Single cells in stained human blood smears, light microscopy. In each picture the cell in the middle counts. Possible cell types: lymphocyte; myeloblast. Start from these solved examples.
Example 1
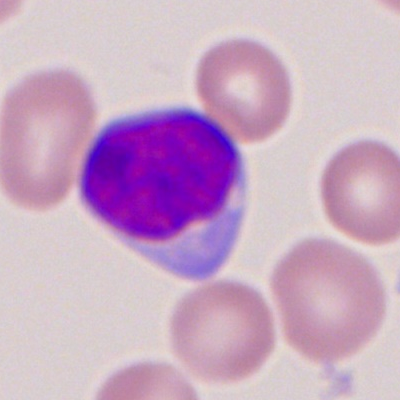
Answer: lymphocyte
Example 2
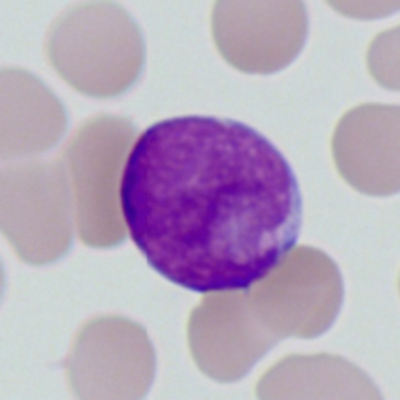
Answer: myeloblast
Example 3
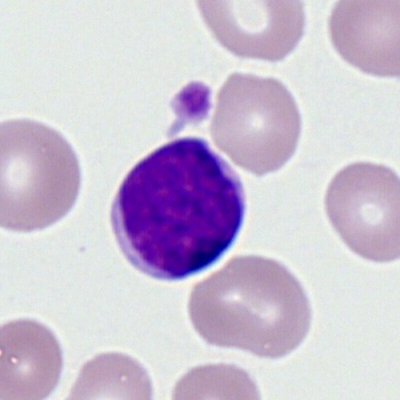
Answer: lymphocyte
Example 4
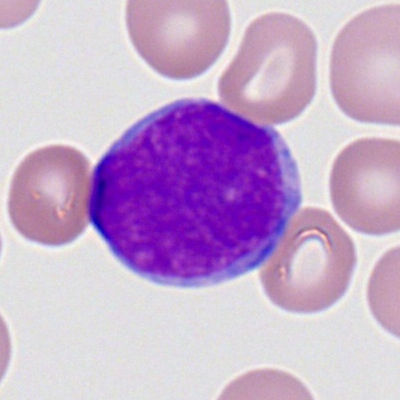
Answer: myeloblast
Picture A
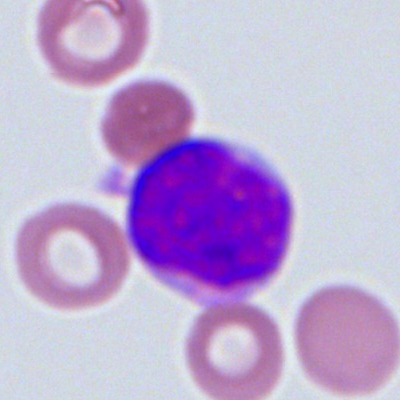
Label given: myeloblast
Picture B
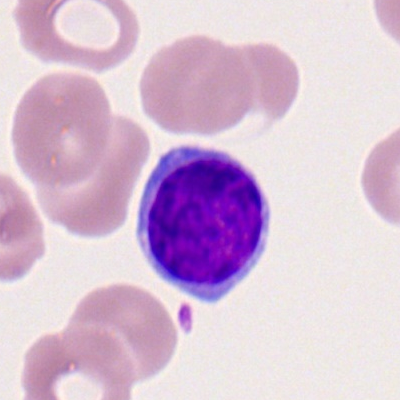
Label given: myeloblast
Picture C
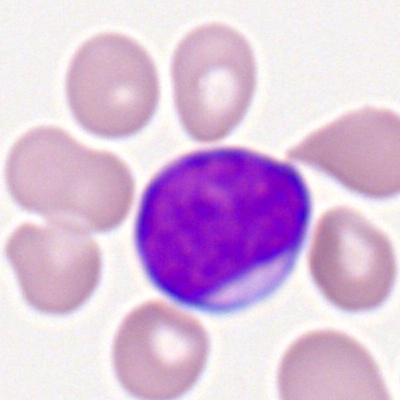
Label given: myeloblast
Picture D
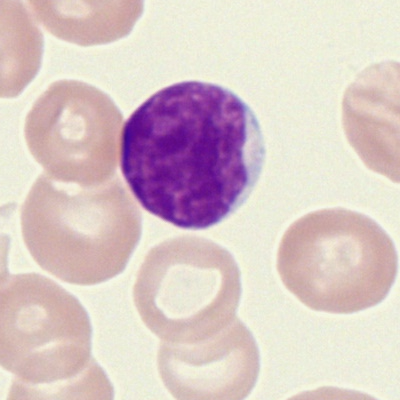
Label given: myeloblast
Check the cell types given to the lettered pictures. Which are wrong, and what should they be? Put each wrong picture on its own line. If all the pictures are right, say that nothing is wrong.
B: not myeloblast but lymphocyte
D: not myeloblast but lymphocyte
